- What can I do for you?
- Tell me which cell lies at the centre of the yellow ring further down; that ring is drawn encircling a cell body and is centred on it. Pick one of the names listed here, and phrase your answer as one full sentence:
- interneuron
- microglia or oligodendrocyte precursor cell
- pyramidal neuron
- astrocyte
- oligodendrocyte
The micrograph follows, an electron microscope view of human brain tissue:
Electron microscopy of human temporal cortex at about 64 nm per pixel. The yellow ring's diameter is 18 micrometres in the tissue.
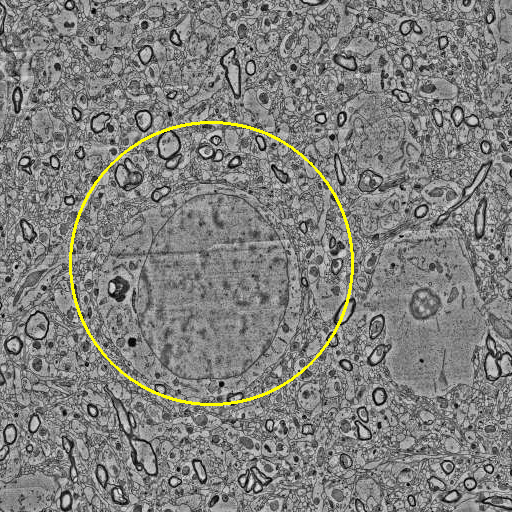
The cell whose body lies at the centre of the yellow ring is a pyramidal neuron.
